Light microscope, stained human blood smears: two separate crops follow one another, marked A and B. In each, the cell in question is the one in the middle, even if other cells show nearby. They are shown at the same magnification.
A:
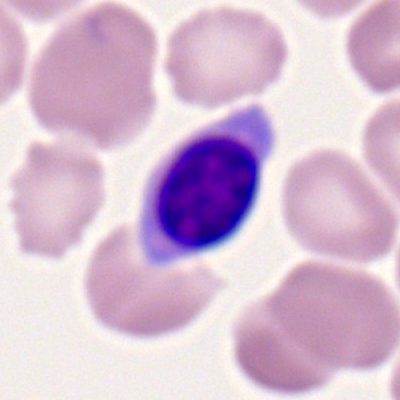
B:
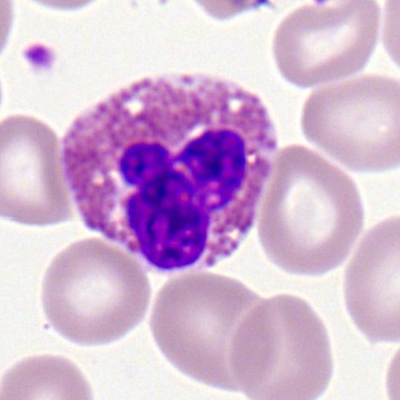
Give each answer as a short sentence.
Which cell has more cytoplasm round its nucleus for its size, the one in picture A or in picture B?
It is the cell in picture B that is filled less by its nucleus.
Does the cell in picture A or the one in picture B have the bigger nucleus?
Picture B shows the larger nucleus; it covers about 1.5 times the area of the nucleus in picture A.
